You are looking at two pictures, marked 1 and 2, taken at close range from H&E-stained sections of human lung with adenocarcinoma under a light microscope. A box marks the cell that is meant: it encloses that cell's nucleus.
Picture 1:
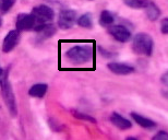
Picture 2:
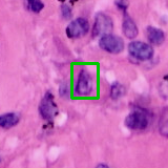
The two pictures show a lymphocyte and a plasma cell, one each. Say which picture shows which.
1: lymphocyte
2: plasma cell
